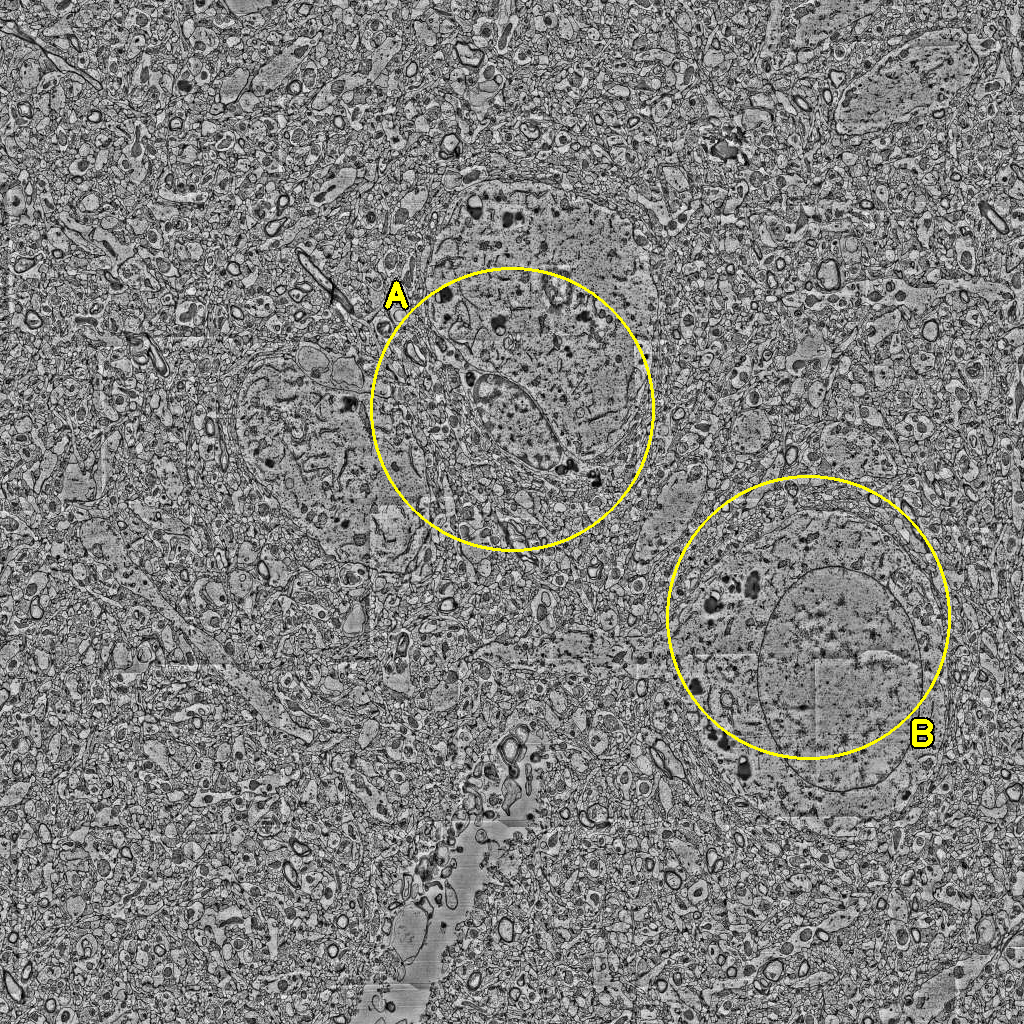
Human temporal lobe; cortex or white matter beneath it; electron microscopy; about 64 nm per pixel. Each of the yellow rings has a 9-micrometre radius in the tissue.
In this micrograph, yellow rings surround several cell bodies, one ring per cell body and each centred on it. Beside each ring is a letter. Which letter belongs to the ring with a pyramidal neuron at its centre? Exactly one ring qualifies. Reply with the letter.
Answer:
B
